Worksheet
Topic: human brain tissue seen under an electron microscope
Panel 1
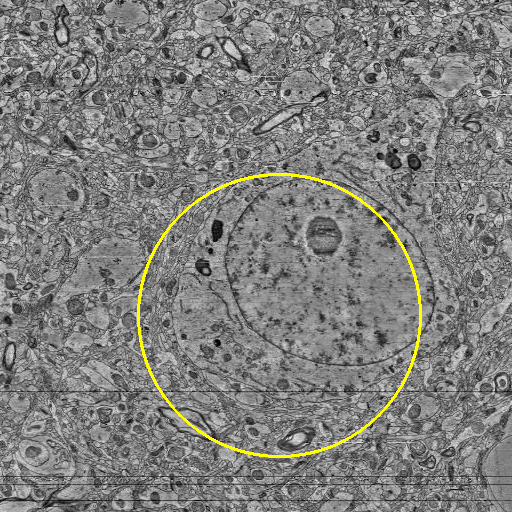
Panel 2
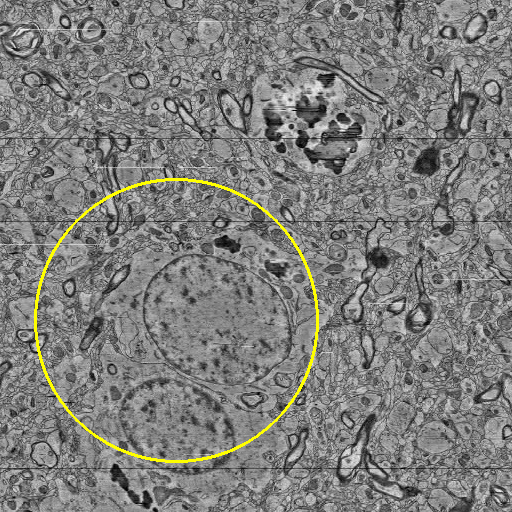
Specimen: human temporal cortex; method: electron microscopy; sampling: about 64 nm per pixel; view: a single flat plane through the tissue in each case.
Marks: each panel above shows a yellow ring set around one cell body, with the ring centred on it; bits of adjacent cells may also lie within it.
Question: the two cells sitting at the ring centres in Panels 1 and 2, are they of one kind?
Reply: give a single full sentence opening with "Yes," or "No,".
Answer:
No, the two ring-centre cells in Panel 1 and Panel 2 are of two kinds.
